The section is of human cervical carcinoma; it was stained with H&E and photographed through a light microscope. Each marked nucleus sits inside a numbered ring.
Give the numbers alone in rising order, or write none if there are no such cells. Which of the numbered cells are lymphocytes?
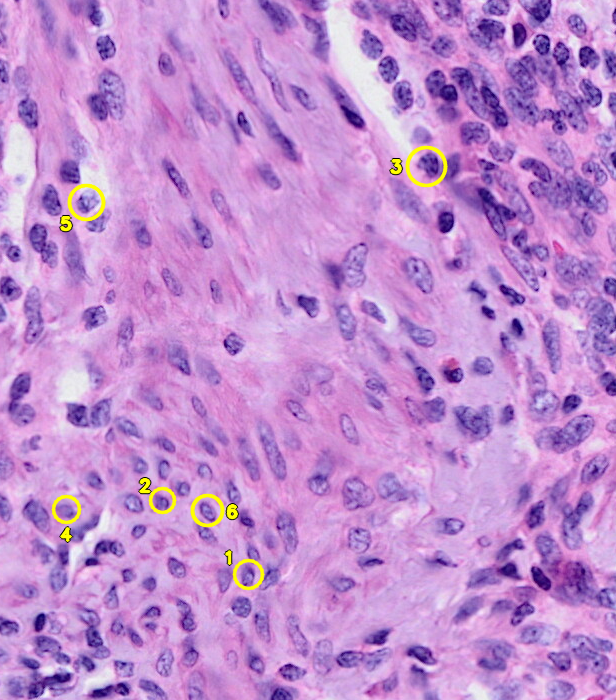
3, 5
